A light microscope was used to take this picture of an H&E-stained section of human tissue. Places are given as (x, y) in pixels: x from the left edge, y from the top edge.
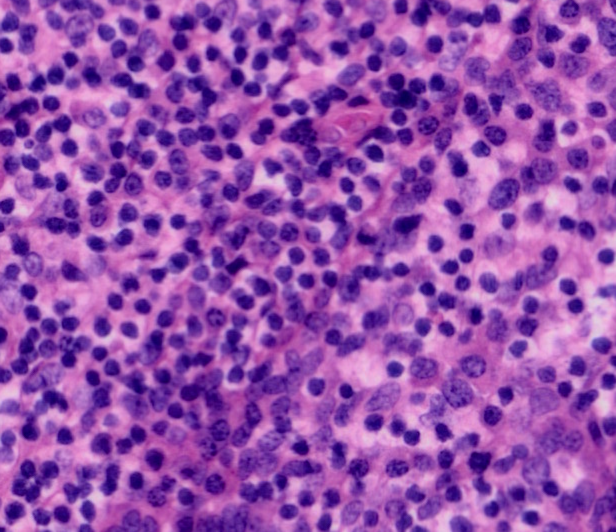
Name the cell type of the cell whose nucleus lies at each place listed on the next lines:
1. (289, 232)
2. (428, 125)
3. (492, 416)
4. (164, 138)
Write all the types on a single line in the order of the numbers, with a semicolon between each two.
plasma cell; plasma cell; plasma cell; small lymphocyte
